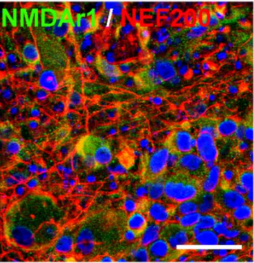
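Round to oval blue nuclei of varying size are packed closely, especially toward the right side of the field. Several large rounded cell bodies show a diffuse green-yellow cytoplasm around their nuclei. Red fibres run between and around the cell bodies, some curving closely along their outlines.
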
